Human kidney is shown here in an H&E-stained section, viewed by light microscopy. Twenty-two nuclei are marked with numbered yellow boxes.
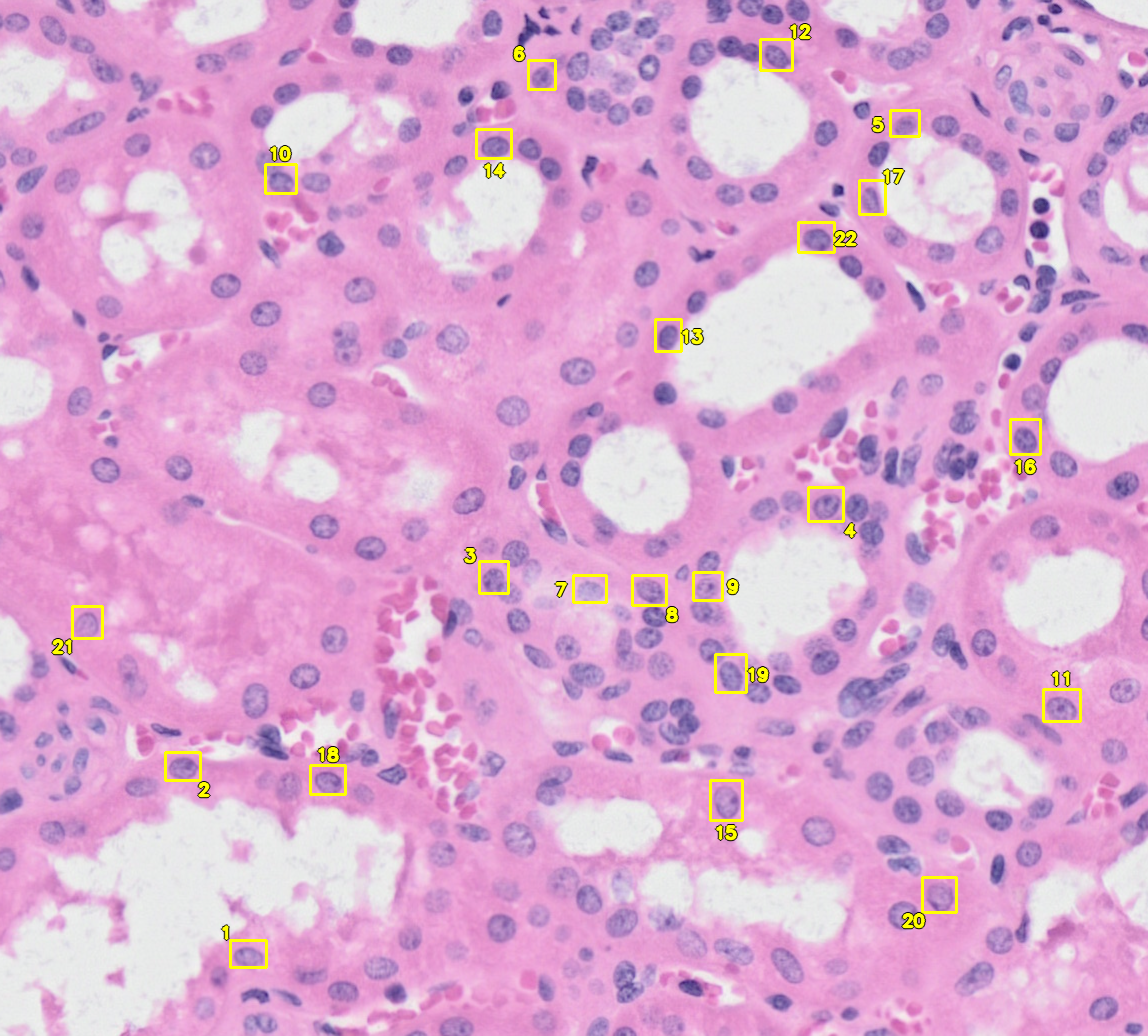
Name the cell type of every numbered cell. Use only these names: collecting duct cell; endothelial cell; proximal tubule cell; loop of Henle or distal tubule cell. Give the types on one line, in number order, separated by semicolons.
proximal tubule cell; proximal tubule cell; collecting duct cell; collecting duct cell; loop of Henle or distal tubule cell; loop of Henle or distal tubule cell; collecting duct cell; collecting duct cell; collecting duct cell; loop of Henle or distal tubule cell; proximal tubule cell; collecting duct cell; loop of Henle or distal tubule cell; loop of Henle or distal tubule cell; proximal tubule cell; collecting duct cell; loop of Henle or distal tubule cell; proximal tubule cell; collecting duct cell; proximal tubule cell; proximal tubule cell; loop of Henle or distal tubule cell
